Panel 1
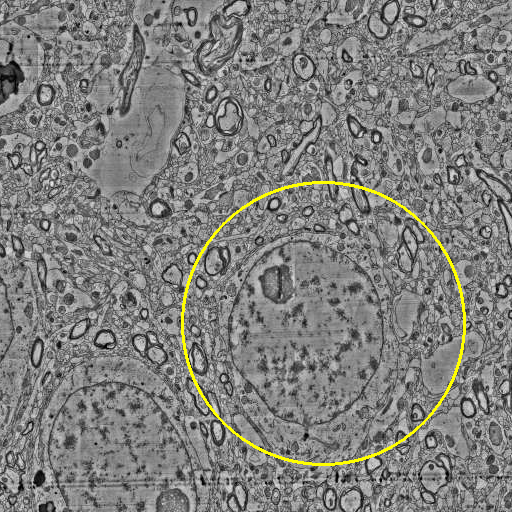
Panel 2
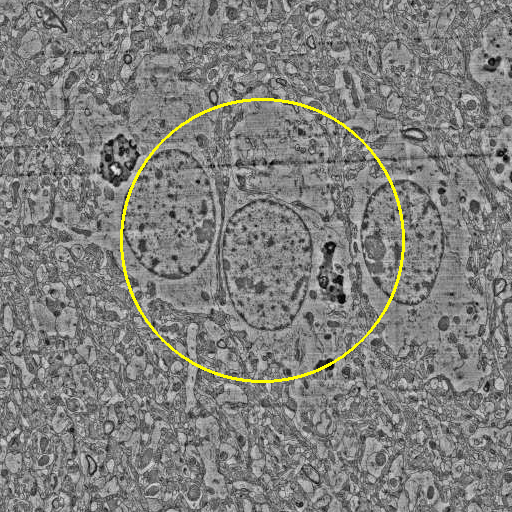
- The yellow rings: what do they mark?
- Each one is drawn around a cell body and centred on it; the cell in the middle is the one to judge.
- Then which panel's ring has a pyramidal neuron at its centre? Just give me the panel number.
1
